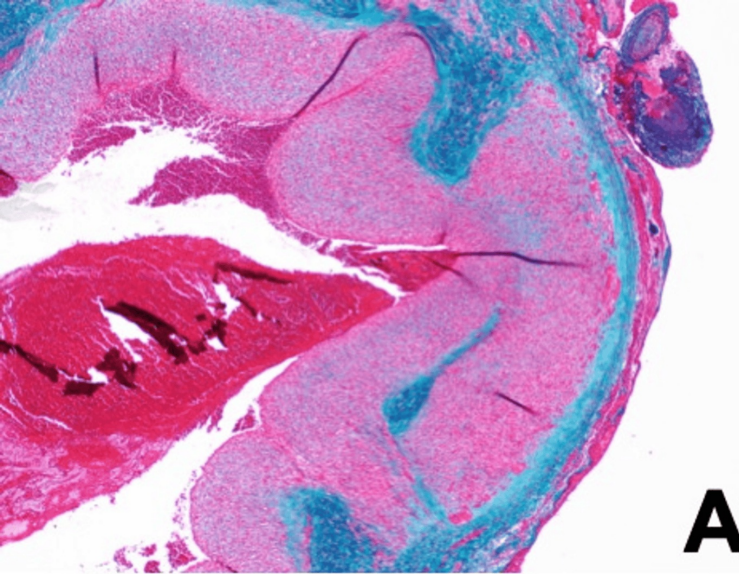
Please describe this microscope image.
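Blue-green fibrous tissue forms a band along the outer side of the wall and extends in strands and patches into the pink layer. The lumen contains dense red material consistent with blood. A few dark, thin lines cross the tissue and look like folds or cutting artefacts.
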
